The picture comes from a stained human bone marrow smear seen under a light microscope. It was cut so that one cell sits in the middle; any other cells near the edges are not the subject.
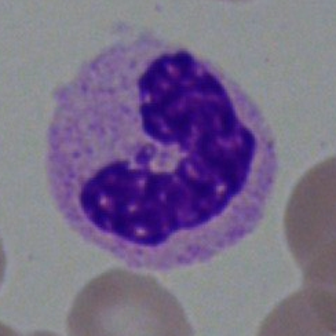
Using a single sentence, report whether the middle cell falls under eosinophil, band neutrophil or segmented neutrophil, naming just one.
For this crop, the cell in the middle is a segmented neutrophil.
